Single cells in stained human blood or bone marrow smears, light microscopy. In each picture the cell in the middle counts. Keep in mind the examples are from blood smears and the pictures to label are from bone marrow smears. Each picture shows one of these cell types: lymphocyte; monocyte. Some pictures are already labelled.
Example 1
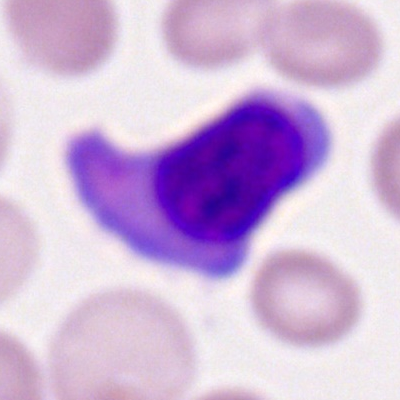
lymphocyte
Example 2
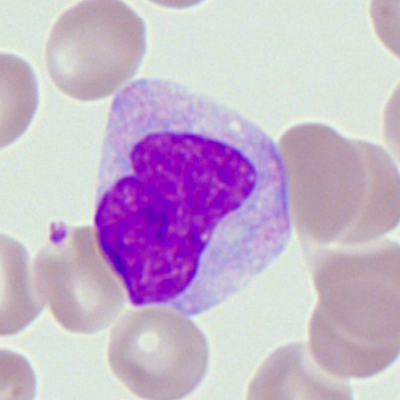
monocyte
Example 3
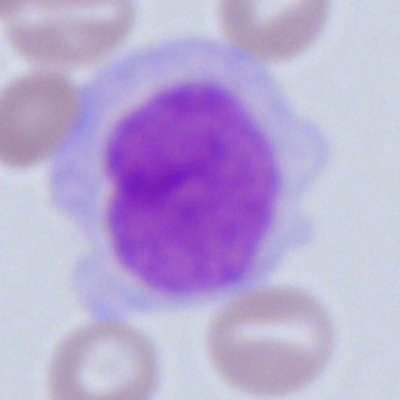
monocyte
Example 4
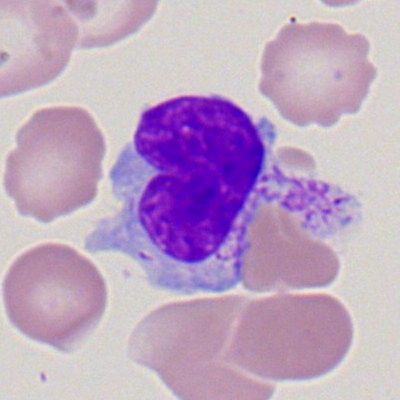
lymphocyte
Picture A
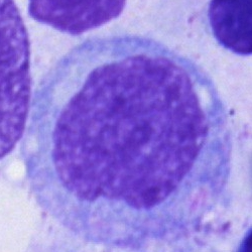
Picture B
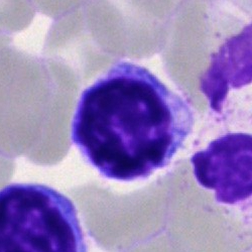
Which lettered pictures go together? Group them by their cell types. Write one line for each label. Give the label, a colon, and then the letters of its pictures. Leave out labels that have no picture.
lymphocyte: B
monocyte: A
